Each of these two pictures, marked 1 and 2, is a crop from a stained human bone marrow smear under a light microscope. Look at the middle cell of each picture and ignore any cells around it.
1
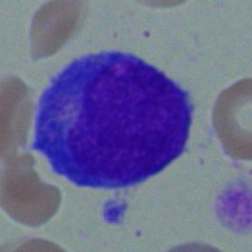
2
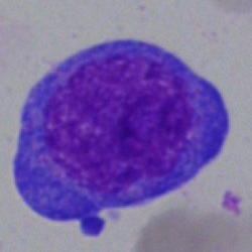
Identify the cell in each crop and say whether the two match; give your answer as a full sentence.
Yes, the central cells in both of the crops are blasts.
